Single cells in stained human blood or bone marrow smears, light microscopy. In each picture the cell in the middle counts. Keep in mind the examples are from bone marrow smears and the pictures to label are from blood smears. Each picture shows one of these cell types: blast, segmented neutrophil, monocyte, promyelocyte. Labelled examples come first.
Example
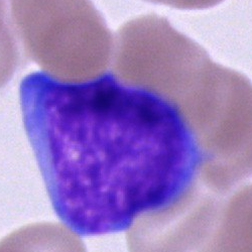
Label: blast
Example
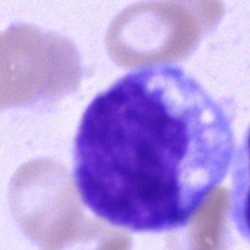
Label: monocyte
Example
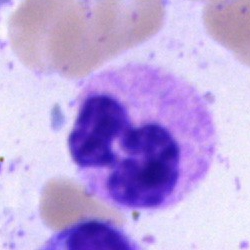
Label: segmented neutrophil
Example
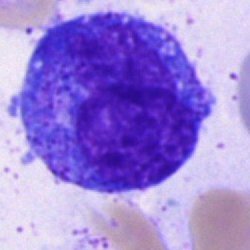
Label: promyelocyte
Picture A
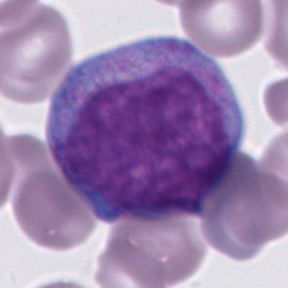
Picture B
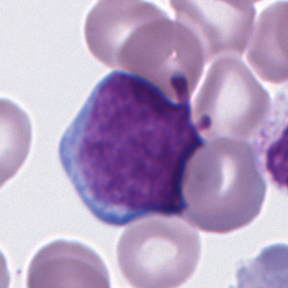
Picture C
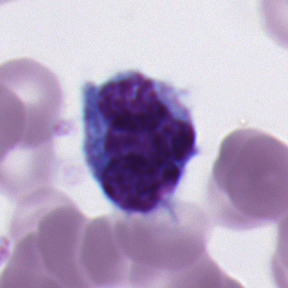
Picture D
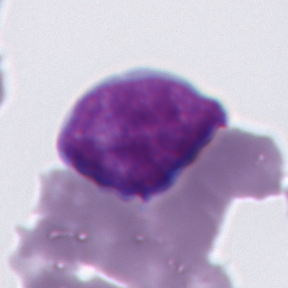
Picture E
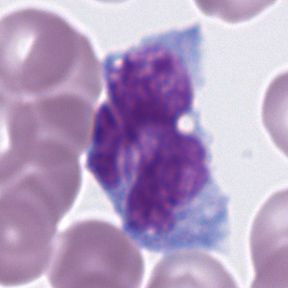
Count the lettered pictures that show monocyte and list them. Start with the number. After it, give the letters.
2: C, E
